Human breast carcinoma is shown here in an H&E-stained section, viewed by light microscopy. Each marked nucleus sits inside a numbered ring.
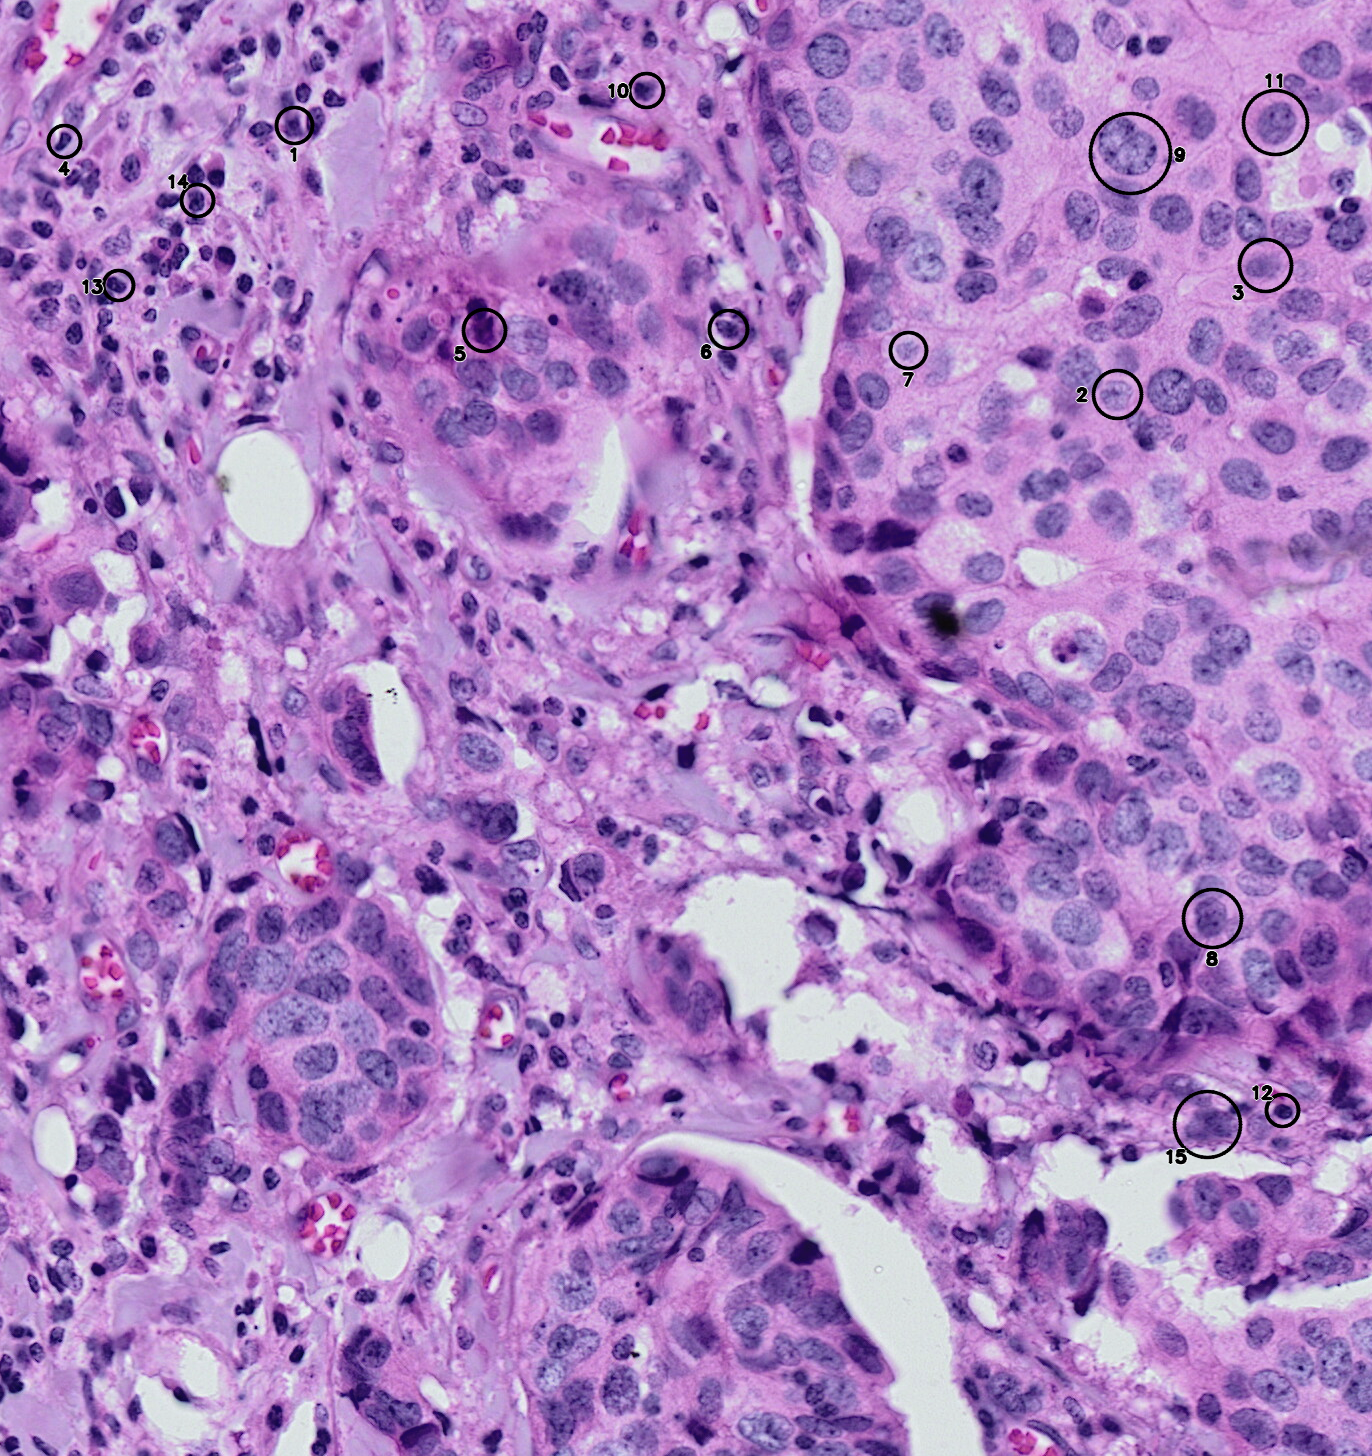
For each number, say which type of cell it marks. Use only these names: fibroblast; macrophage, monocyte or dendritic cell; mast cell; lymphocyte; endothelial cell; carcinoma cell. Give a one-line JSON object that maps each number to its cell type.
{"1": "lymphocyte", "2": "carcinoma cell", "3": "carcinoma cell", "4": "lymphocyte", "5": "carcinoma cell", "6": "lymphocyte", "7": "carcinoma cell", "8": "carcinoma cell", "9": "carcinoma cell", "10": "lymphocyte", "11": "carcinoma cell", "12": "lymphocyte", "13": "lymphocyte", "14": "lymphocyte", "15": "carcinoma cell"}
